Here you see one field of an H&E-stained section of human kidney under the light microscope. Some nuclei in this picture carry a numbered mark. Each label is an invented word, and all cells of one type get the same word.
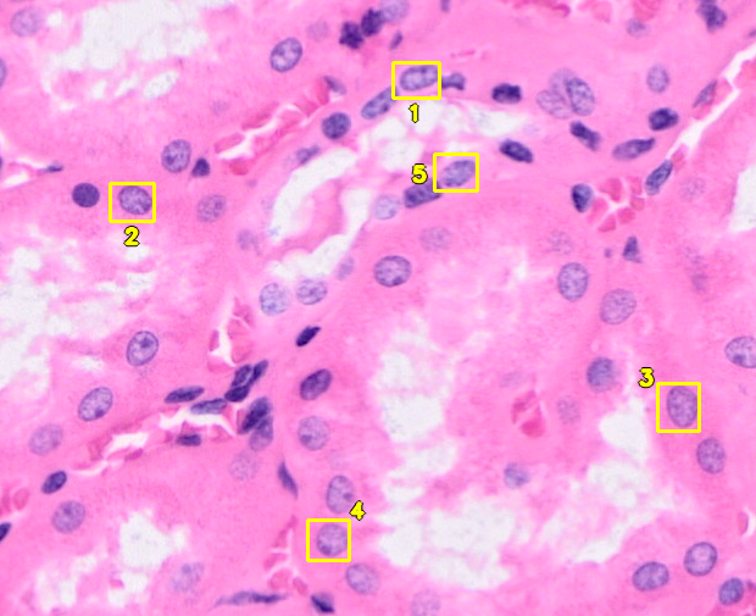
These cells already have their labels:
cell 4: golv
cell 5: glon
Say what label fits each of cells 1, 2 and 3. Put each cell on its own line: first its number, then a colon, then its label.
1: glon
2: golv
3: golv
